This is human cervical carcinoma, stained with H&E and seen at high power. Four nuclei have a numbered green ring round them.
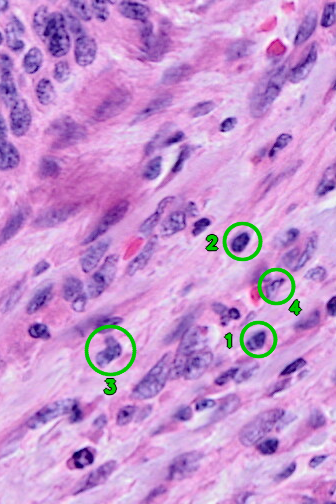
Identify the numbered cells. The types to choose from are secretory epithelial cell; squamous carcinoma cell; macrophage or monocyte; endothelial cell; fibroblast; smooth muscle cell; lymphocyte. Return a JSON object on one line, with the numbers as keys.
{"1": "lymphocyte", "2": "lymphocyte", "3": "lymphocyte", "4": "endothelial cell"}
